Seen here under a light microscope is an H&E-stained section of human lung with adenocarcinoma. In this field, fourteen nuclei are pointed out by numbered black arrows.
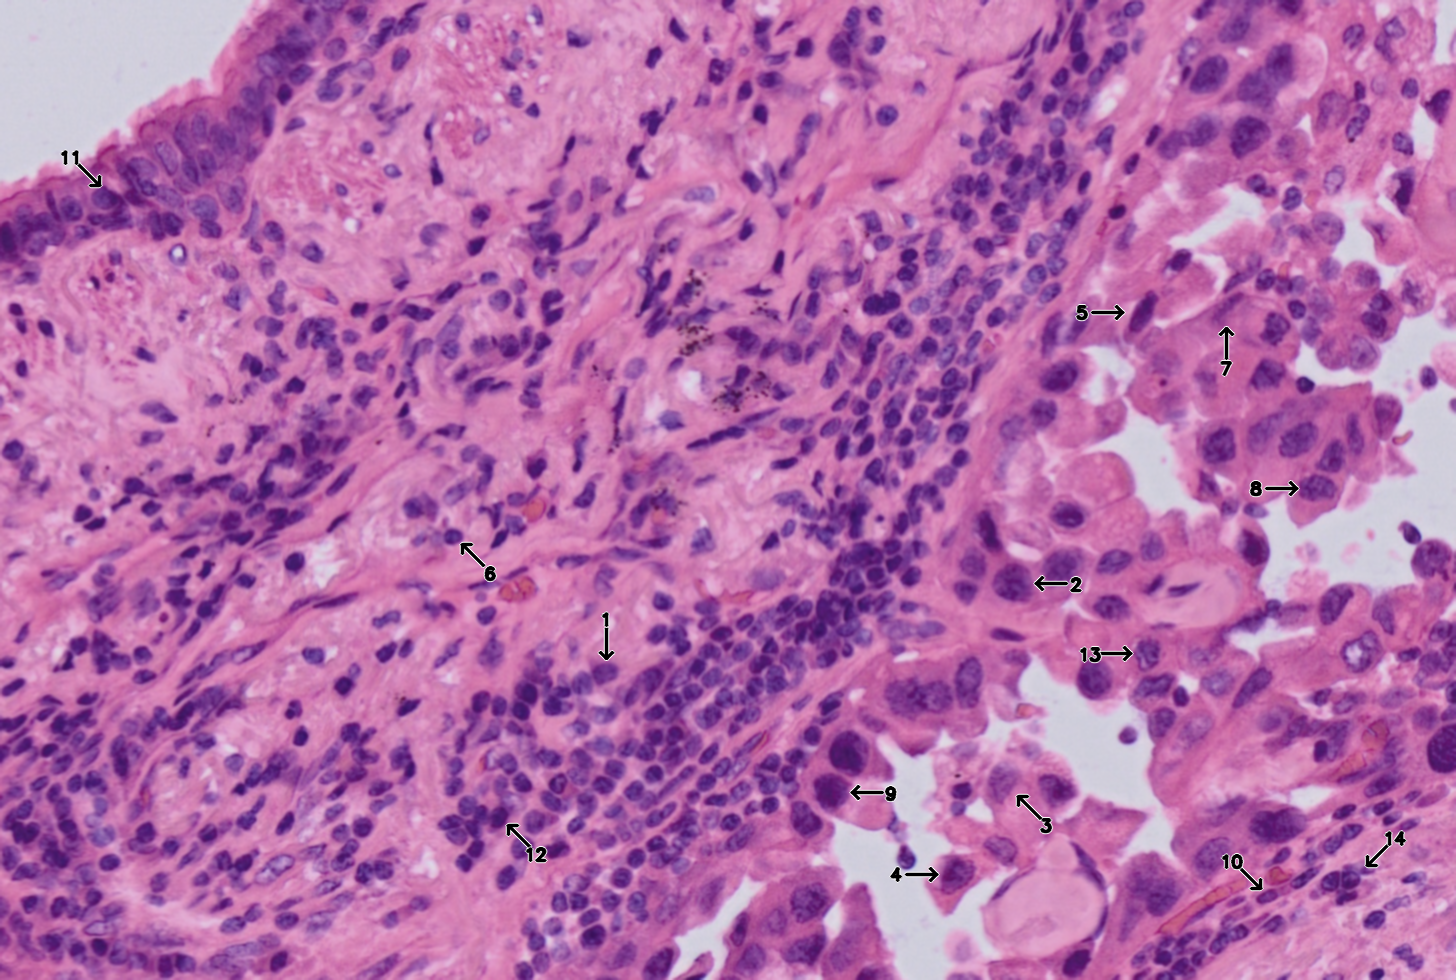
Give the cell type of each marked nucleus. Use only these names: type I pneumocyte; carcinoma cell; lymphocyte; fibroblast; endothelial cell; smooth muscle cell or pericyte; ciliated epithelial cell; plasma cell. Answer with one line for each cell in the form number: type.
1: plasma cell
2: carcinoma cell
3: carcinoma cell
4: carcinoma cell
5: carcinoma cell
6: lymphocyte
7: carcinoma cell
8: carcinoma cell
9: carcinoma cell
10: plasma cell
11: ciliated epithelial cell
12: plasma cell
13: carcinoma cell
14: plasma cell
